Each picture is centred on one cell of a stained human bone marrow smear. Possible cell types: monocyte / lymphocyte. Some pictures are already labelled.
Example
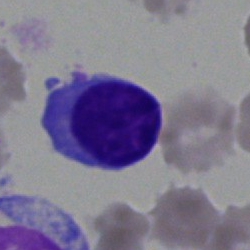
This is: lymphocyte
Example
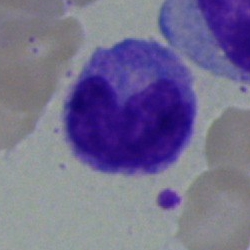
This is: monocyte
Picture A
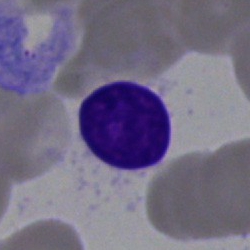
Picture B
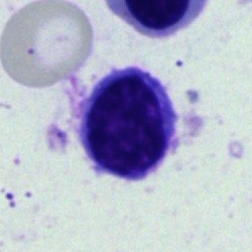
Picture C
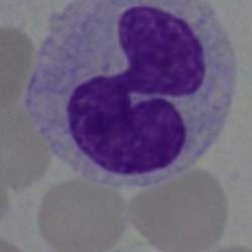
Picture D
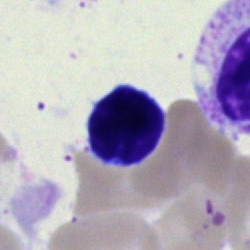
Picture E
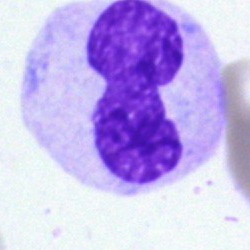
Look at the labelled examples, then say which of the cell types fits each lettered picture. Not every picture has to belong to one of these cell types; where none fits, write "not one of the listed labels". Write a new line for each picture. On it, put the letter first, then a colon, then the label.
A: lymphocyte
B: lymphocyte
C: monocyte
D: lymphocyte
E: not one of the listed labels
